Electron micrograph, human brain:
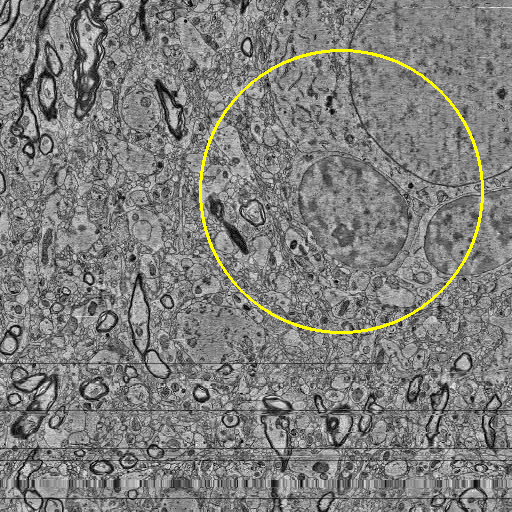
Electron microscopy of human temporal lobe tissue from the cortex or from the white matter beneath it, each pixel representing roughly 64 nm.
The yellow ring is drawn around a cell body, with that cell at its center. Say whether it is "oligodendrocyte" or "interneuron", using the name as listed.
oligodendrocyte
